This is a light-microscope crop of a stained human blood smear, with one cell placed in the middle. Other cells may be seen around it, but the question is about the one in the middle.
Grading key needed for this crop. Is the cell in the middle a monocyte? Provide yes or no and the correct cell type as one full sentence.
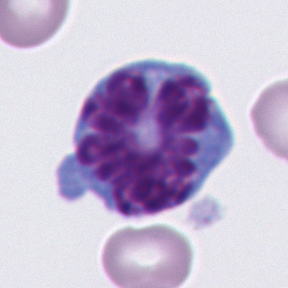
No, what lies at the heart of the crop is a myeloblast, not a monocyte.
